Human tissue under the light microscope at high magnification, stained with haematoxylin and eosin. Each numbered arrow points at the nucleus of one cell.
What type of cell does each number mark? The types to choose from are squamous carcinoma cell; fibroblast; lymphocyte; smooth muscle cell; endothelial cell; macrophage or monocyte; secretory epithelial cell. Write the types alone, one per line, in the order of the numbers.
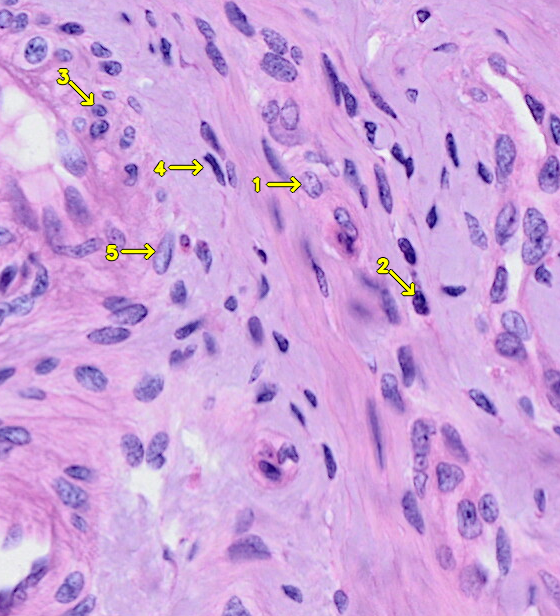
endothelial cell
lymphocyte
smooth muscle cell
fibroblast
smooth muscle cell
